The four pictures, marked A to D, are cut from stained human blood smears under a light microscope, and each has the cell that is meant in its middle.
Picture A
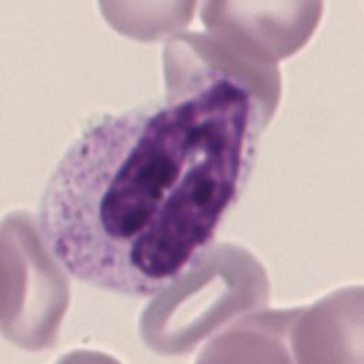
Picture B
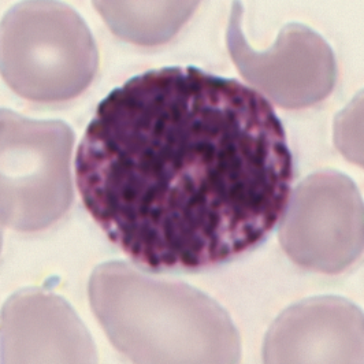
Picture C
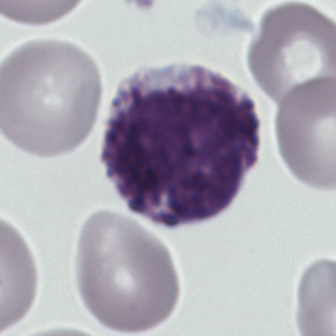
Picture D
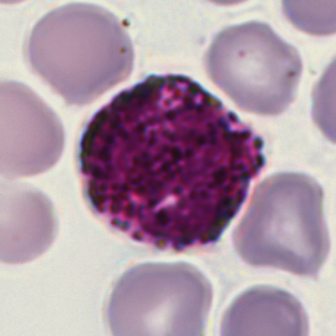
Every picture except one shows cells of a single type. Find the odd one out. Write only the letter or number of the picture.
A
